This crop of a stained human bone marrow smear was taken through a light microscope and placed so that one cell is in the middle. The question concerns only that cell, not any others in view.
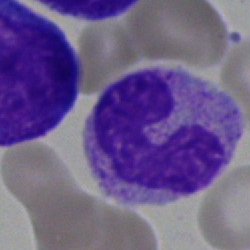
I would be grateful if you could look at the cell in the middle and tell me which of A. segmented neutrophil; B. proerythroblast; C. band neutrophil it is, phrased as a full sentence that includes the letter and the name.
Since the cell in the middle is a band neutrophil, option C is correct.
